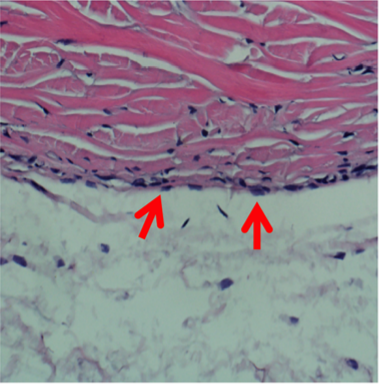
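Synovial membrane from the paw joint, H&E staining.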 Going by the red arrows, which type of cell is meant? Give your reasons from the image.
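The arrows point to flattened cells with dark nuclei lining the lower border of the pink tissue. These cells form a thin layer facing the pale loose space below.
Hence: synoviocyte.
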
